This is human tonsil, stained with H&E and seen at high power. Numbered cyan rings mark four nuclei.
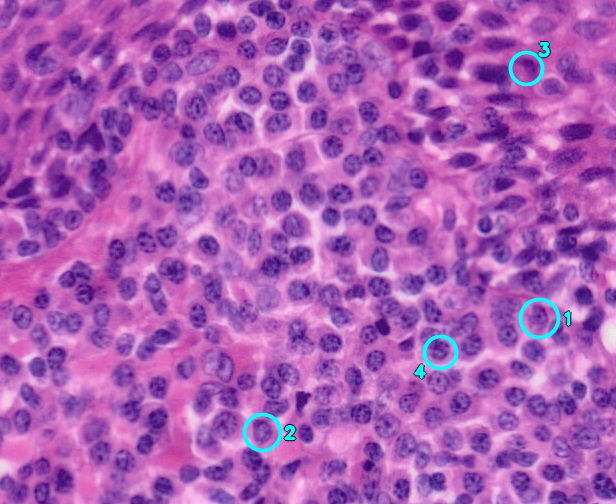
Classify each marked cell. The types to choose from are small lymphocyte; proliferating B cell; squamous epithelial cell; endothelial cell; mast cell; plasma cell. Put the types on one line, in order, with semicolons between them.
plasma cell; plasma cell; squamous epithelial cell; plasma cell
